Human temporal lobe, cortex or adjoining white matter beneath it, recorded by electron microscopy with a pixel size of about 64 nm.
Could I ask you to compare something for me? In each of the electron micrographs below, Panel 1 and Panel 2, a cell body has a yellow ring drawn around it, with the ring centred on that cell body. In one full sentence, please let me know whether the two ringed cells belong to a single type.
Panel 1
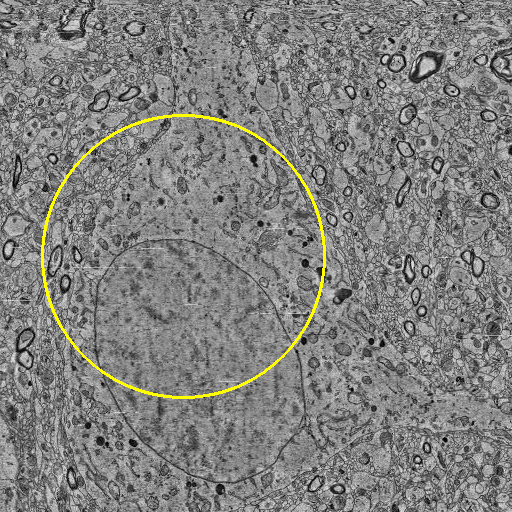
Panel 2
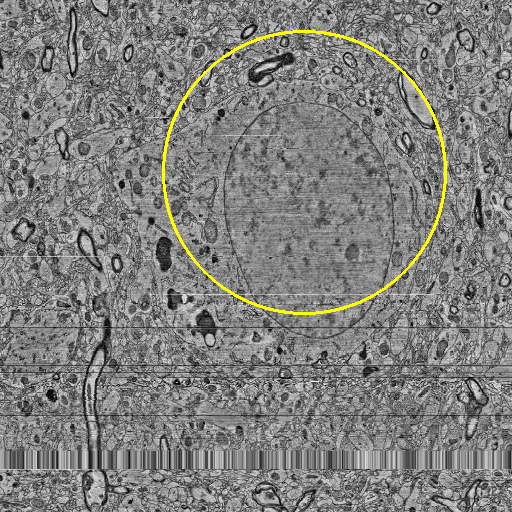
Yes, the two cells at the centres of the rings are of one type.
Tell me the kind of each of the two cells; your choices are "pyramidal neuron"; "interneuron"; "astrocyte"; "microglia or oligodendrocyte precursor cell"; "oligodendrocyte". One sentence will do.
Each one of the two ringed cells is a pyramidal neuron.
